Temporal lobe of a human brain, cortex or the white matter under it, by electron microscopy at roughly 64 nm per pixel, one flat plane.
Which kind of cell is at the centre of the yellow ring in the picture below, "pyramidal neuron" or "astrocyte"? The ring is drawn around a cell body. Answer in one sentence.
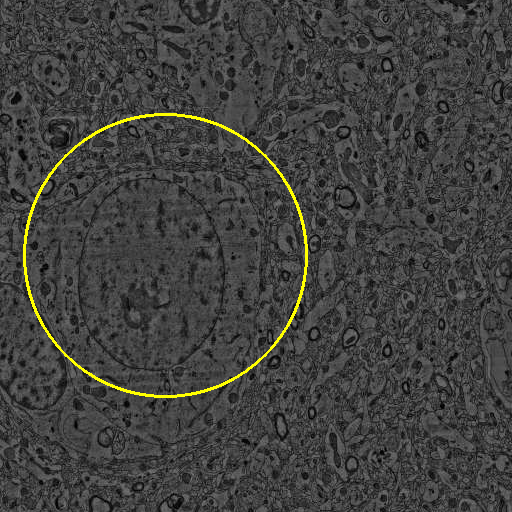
The ring's central cell is a pyramidal neuron.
